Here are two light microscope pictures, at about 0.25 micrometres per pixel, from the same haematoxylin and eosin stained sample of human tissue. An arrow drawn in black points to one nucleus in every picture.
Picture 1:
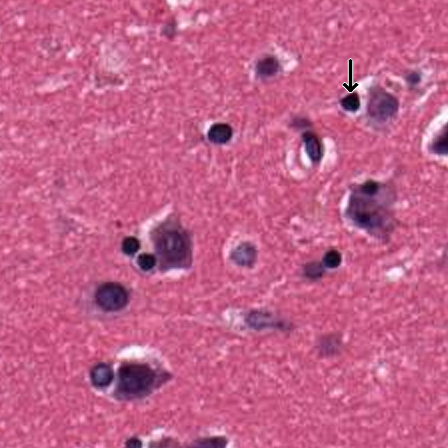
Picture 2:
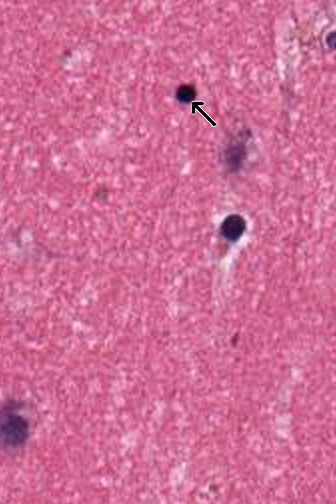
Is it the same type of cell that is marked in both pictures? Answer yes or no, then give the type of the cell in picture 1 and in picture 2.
Yes, both are oligodendrocytes.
